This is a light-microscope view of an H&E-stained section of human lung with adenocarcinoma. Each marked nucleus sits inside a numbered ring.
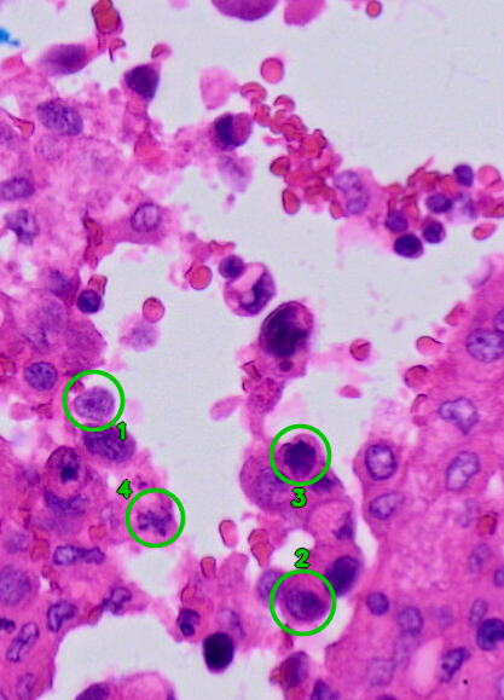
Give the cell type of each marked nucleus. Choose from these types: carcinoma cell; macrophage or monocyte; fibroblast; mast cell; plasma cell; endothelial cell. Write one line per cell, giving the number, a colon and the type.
1: carcinoma cell
2: carcinoma cell
3: carcinoma cell
4: macrophage or monocyte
